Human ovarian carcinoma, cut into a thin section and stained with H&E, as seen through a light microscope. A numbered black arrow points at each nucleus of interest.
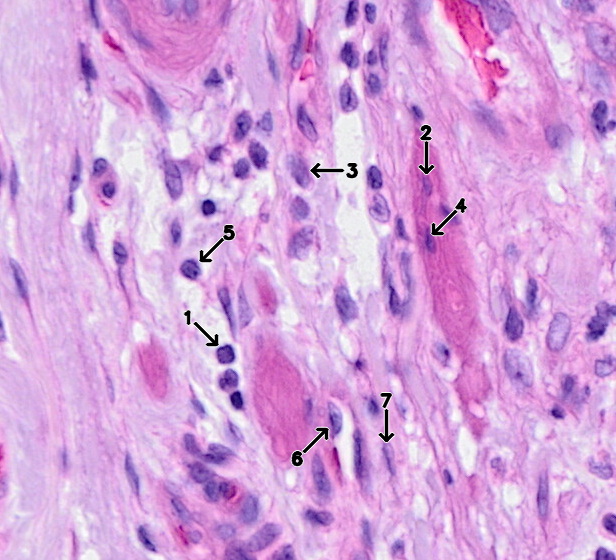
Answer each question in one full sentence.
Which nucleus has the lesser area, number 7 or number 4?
Nucleus 4 covers less area, with nucleus 7 about 1.5 times as large.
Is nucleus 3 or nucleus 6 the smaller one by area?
It is nucleus 6; nucleus 3 has about 2 times its area.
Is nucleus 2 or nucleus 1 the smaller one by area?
With nucleus 1 about 2.5 times its size, nucleus 2 is the smaller of the two.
